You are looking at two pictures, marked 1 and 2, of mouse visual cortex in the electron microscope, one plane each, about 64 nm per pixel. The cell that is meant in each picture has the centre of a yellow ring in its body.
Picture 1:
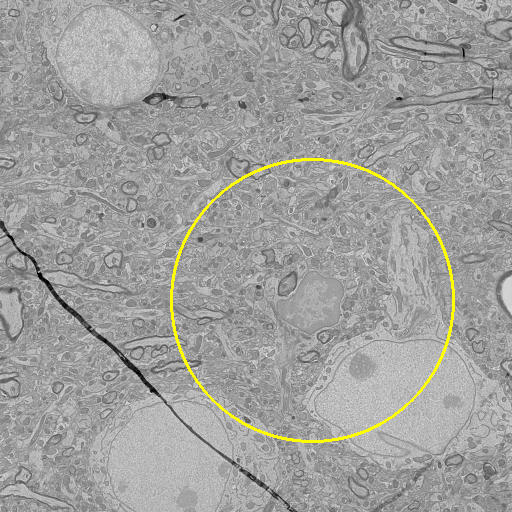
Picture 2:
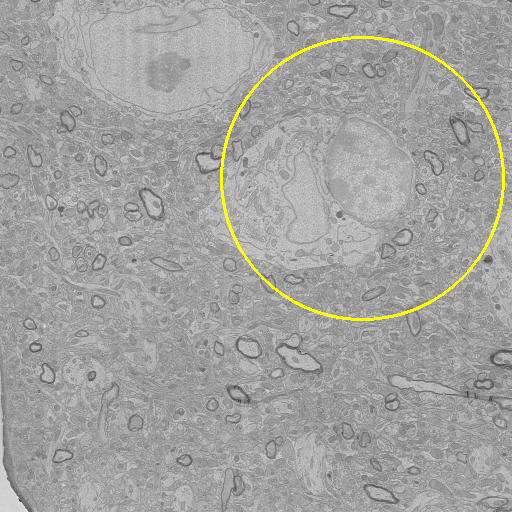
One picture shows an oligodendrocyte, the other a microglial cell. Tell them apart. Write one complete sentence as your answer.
Picture 1 shows a microglial cell and picture 2 shows an oligodendrocyte.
